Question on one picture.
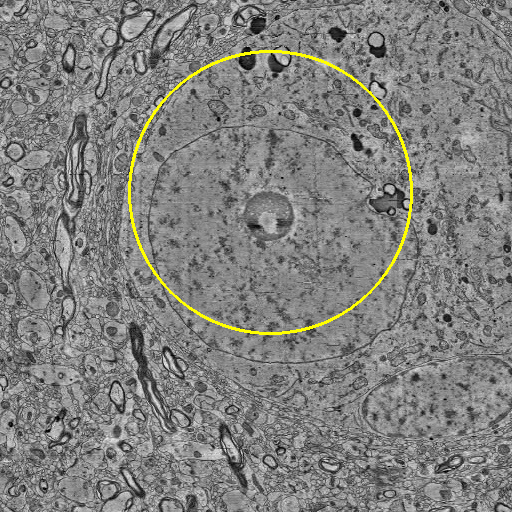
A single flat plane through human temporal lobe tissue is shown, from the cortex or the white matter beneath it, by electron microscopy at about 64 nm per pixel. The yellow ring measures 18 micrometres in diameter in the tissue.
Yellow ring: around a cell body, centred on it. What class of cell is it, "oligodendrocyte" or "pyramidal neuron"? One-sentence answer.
This is a pyramidal neuron, the cell the ring is centred on.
